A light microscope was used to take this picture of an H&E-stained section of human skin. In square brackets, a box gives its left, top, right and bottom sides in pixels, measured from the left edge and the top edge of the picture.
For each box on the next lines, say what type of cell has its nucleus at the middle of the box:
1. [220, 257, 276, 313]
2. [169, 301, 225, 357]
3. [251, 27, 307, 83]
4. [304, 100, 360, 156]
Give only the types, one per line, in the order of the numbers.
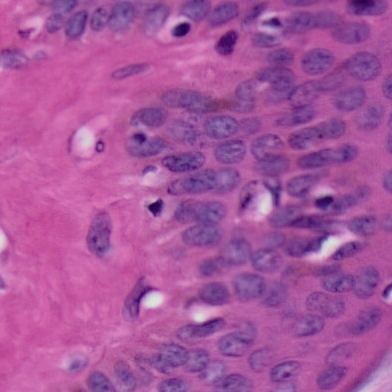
suprabasal keratinocyte
basal keratinocyte
basal keratinocyte
basal keratinocyte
